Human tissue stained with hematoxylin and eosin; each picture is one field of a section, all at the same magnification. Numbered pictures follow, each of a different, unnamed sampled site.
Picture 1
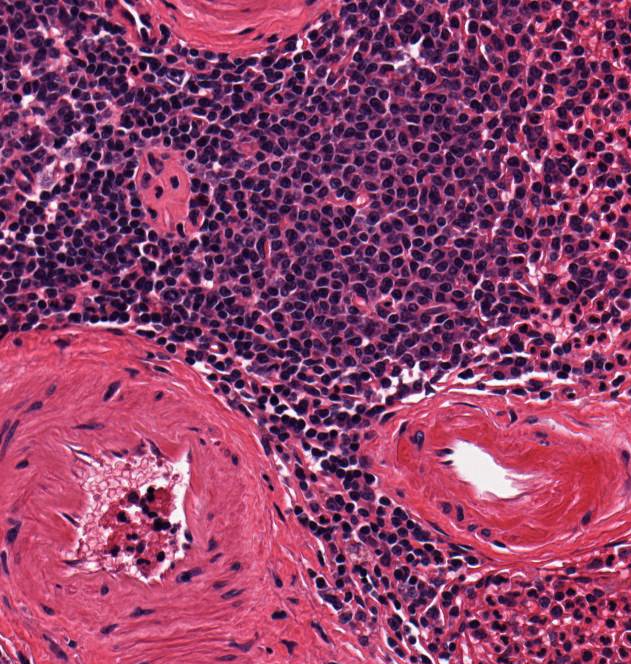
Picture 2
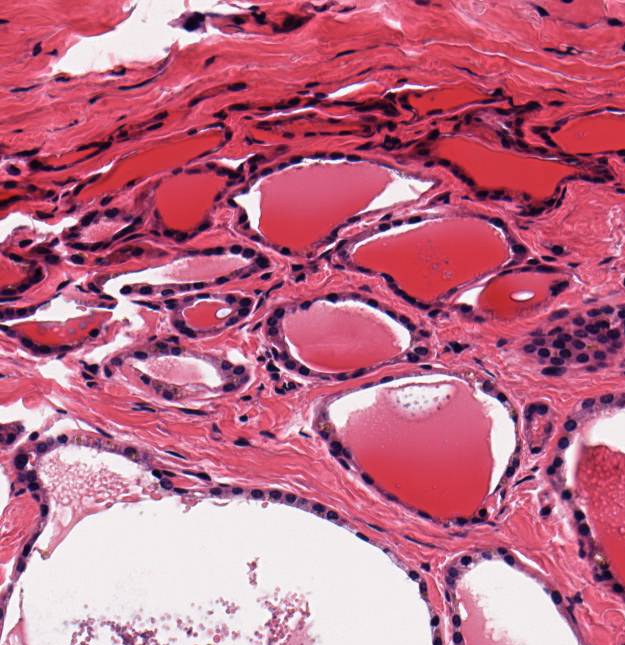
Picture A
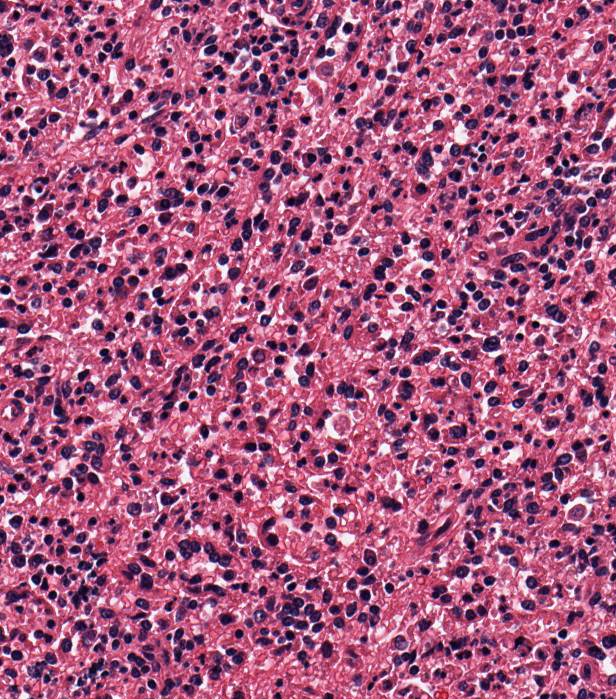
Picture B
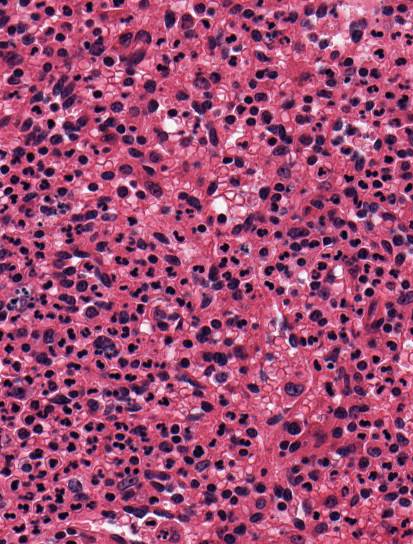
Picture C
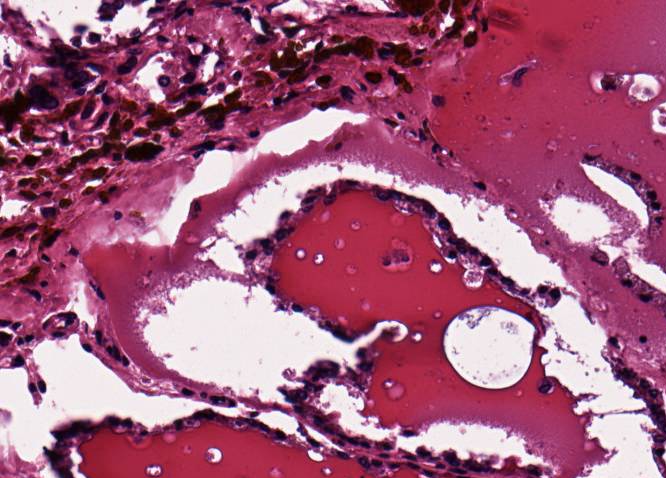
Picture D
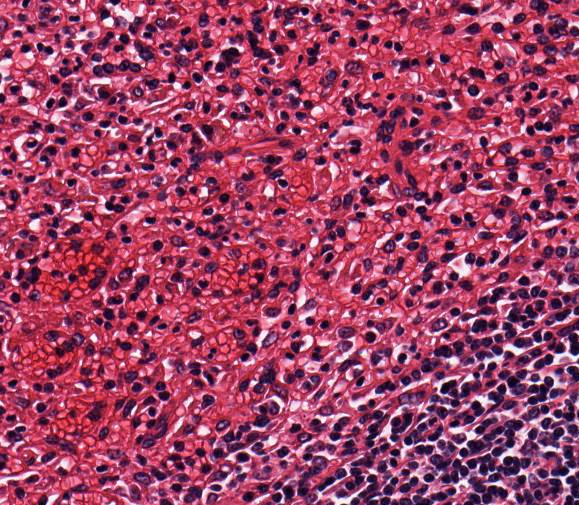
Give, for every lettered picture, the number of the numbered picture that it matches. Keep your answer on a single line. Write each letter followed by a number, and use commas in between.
A 1, B 1, C 2, D 1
